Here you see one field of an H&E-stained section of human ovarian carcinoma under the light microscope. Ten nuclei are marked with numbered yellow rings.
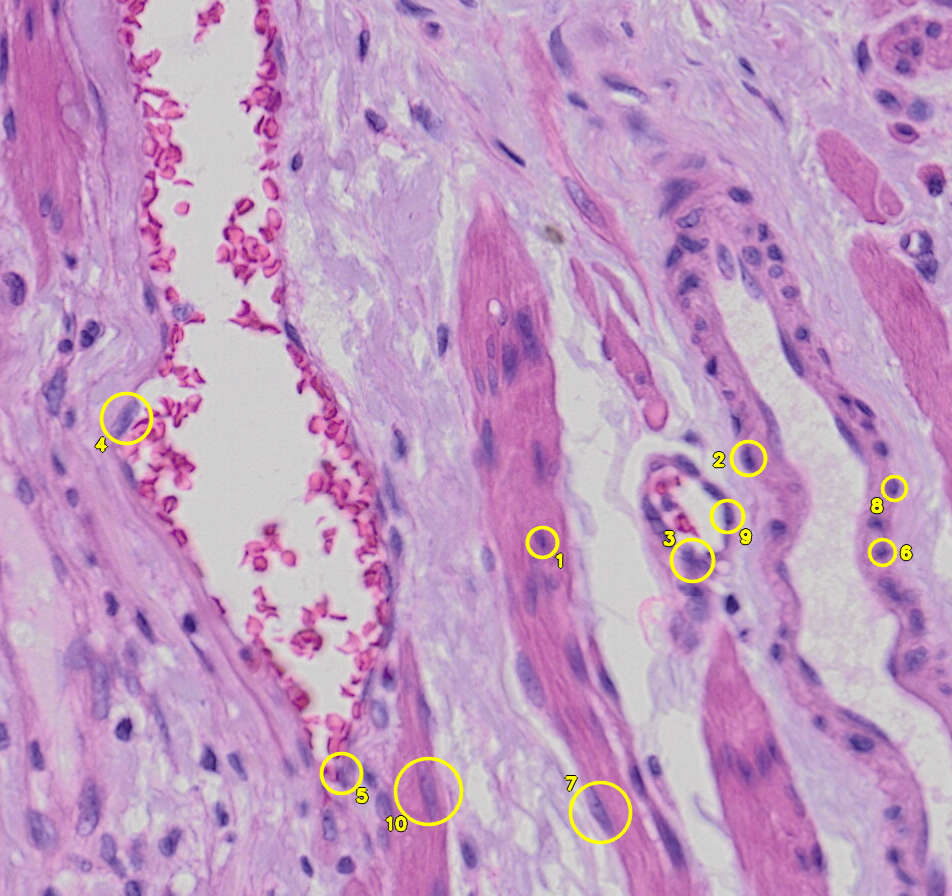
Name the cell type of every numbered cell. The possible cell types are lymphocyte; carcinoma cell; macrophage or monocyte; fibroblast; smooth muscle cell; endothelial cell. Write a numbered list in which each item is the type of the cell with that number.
1. smooth muscle cell
2. smooth muscle cell
3. endothelial cell
4. endothelial cell
5. endothelial cell
6. smooth muscle cell
7. smooth muscle cell
8. smooth muscle cell
9. endothelial cell
10. smooth muscle cell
